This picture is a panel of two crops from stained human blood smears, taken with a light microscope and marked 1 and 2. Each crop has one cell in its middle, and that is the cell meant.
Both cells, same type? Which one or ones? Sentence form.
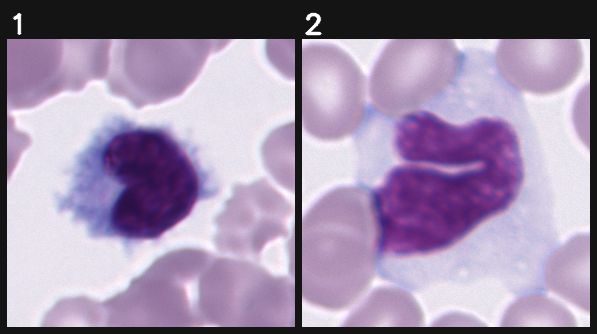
No, crop 1 shows a hairy cell, whereas in crop 2 the cell is a monocyte.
